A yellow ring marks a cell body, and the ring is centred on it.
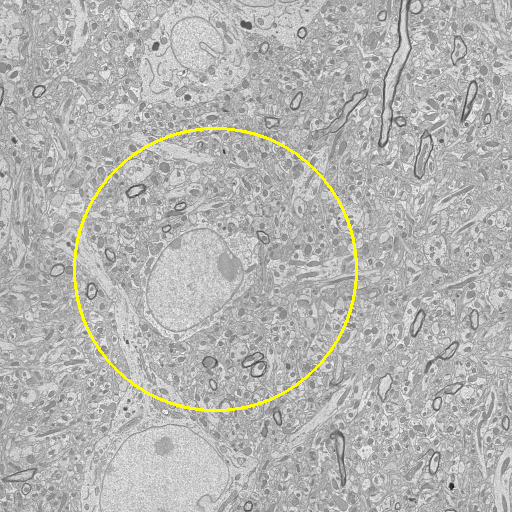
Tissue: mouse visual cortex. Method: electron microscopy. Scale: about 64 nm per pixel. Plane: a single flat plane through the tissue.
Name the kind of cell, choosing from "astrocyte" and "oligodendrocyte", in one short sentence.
The marked cell body belongs to an astrocyte.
